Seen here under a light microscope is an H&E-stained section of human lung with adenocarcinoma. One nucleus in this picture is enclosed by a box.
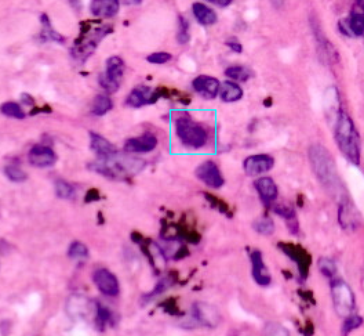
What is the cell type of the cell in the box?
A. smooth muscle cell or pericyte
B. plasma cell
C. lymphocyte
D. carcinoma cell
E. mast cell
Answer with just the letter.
B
